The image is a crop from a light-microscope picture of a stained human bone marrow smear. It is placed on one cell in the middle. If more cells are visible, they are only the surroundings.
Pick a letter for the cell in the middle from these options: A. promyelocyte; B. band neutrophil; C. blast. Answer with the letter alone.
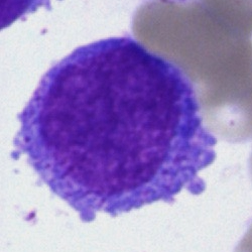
A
